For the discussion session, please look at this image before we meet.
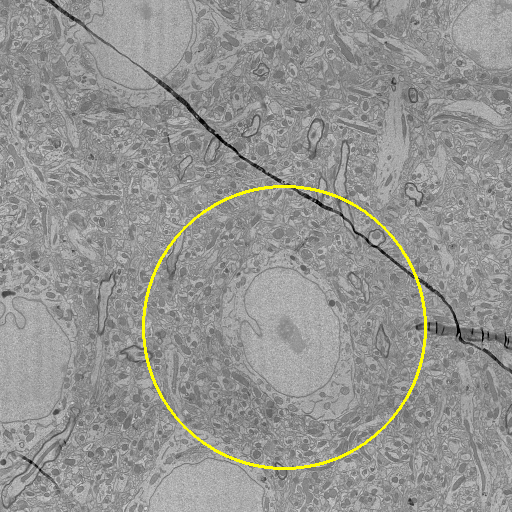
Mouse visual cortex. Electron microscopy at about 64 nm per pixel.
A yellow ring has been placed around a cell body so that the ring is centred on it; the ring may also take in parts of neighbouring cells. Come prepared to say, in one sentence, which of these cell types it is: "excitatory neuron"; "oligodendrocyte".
The cell centred in the ring is an excitatory neuron.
